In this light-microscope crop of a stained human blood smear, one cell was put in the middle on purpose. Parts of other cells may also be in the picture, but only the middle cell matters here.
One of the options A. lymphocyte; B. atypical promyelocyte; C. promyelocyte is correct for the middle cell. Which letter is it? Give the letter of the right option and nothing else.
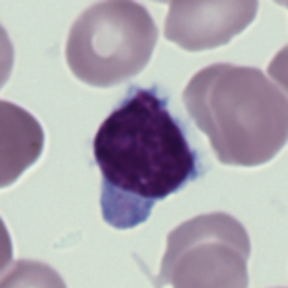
A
